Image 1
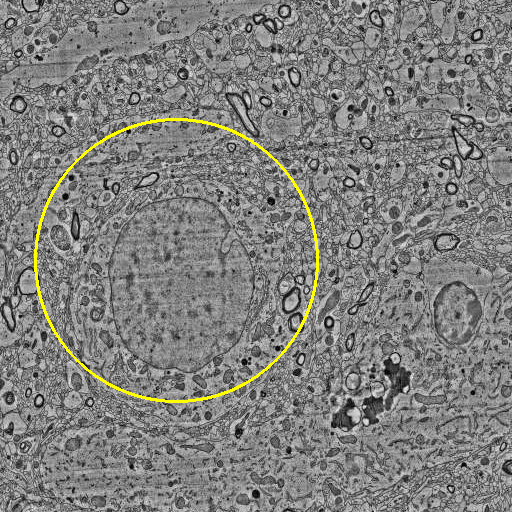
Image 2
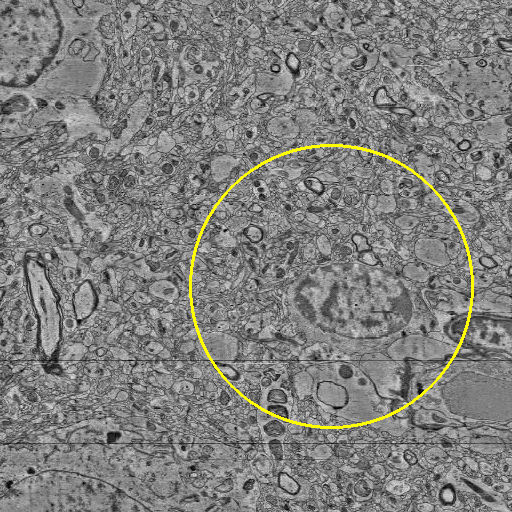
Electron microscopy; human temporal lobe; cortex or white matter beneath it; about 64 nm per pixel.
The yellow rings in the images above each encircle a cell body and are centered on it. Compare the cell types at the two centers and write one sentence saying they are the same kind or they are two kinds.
Taken together, the two cells at the ring centers are two kinds.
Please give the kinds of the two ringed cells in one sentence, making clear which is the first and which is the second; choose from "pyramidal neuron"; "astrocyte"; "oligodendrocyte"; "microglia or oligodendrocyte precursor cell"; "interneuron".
In the second picture the ringed cell is an oligodendrocyte; in the first it is an interneuron.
